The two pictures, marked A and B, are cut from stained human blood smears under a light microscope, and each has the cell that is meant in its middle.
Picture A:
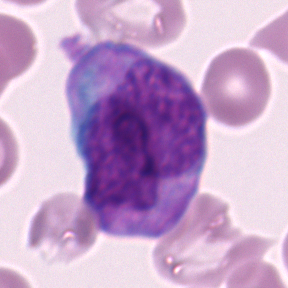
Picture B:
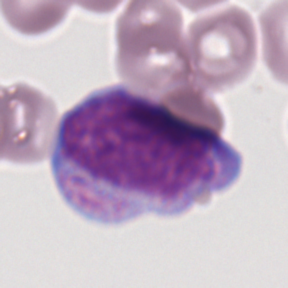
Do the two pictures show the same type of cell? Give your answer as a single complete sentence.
Yes; the cells in both pictures are atypical promyelocytes.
